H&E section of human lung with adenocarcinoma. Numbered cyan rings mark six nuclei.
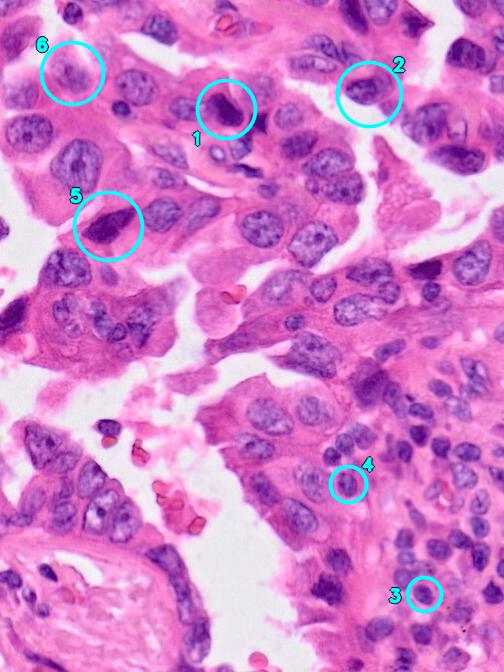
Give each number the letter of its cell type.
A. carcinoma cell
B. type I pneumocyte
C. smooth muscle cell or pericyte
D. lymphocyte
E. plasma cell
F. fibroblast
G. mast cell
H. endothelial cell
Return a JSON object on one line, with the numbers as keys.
{"1": "A", "2": "A", "3": "D", "4": "D", "5": "A", "6": "A"}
